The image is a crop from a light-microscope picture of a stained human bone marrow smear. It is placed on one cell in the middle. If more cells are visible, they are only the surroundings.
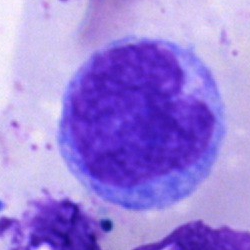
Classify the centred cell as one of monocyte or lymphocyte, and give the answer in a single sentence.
Centred in the crop is a monocyte.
